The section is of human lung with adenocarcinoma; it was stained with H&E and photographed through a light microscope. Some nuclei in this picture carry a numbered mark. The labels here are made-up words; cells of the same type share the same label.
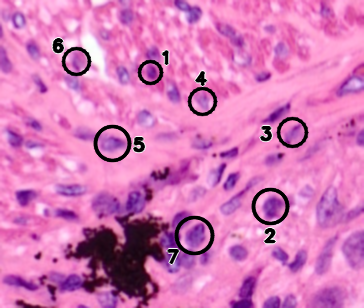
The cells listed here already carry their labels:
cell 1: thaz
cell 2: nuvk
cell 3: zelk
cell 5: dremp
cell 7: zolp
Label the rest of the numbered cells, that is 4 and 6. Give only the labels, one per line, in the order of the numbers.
thaz
thaz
